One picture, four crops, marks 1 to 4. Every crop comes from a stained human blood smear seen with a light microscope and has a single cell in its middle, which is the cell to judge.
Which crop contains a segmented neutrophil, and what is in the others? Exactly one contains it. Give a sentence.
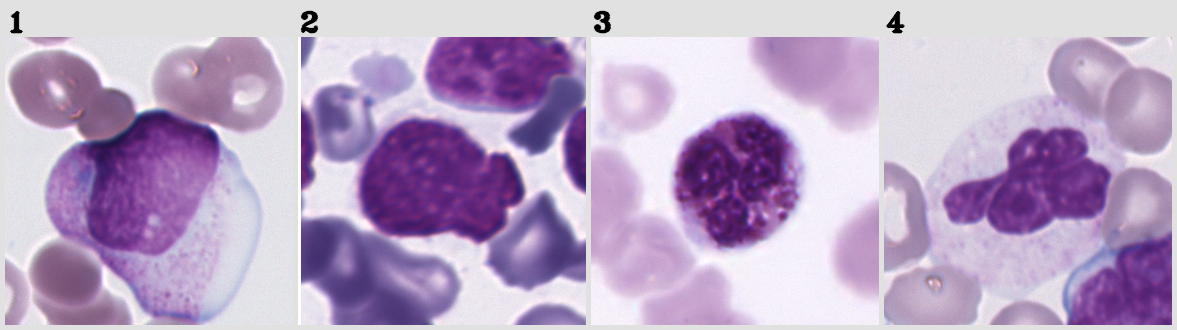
Crop 4 corresponds to a segmented neutrophil, whereas crop 1 is an atypical promyelocyte, crop 2 is a myeloblast and crop 3 is an eosinophil.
